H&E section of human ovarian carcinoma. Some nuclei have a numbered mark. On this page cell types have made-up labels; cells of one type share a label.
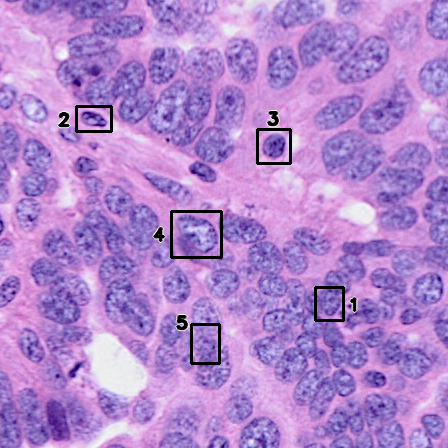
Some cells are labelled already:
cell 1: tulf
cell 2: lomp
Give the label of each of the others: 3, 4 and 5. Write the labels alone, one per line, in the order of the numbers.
lomp
tulf
tulf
